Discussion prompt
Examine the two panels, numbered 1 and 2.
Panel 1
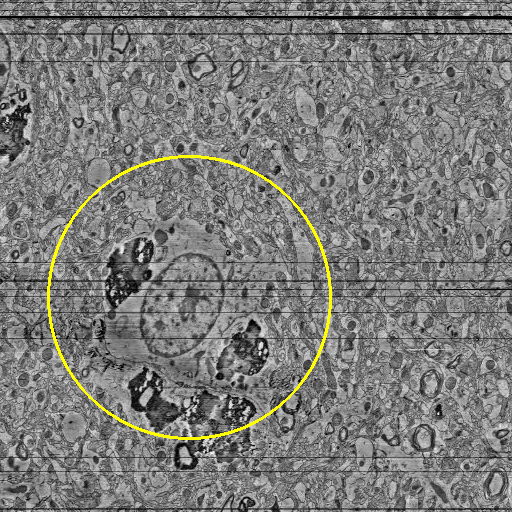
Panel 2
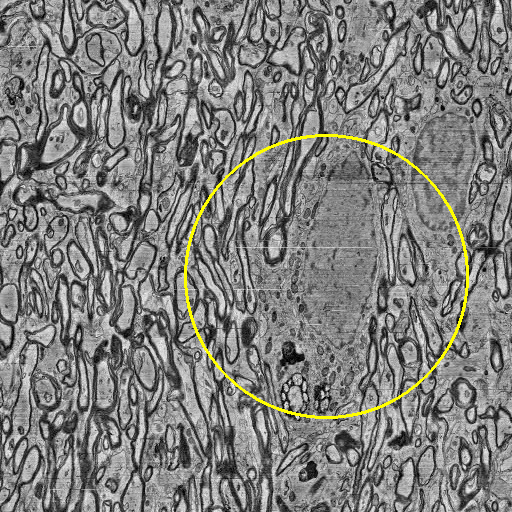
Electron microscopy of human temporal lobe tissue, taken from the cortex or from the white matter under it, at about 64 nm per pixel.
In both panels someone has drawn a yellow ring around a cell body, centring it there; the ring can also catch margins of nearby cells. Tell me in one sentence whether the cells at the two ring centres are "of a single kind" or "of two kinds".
Taken together, the two cells centred in the rings of Panels 1 and 2 are of a single kind.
